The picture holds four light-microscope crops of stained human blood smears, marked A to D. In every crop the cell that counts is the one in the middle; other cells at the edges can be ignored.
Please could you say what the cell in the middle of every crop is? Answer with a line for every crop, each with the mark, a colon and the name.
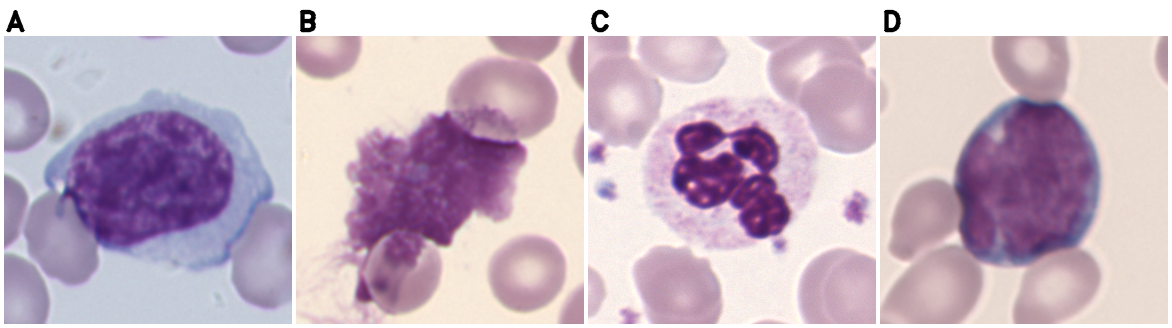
A: myeloblast
B: smudge cell
C: segmented neutrophil
D: myeloblast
